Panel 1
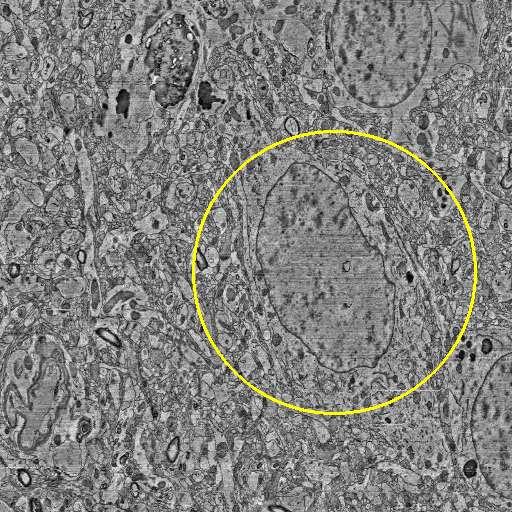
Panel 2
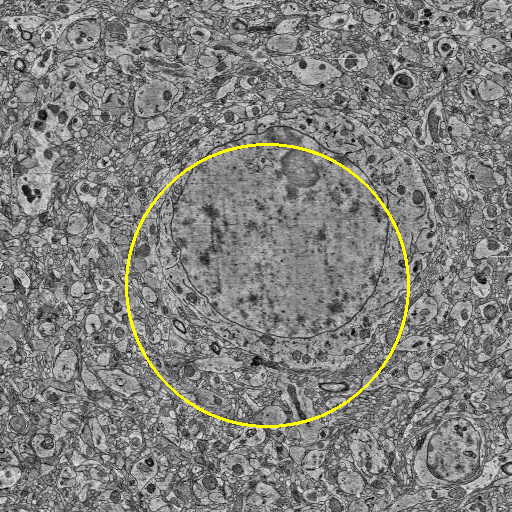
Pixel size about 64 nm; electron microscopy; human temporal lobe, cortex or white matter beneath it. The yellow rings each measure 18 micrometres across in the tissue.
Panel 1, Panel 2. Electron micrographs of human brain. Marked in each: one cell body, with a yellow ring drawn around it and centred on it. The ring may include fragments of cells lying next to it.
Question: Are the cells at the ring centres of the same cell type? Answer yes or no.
yes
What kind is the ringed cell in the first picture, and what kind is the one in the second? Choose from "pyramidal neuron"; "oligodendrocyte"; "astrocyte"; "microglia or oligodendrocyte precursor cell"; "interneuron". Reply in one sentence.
In both pictures the ring is centred on a pyramidal neuron.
